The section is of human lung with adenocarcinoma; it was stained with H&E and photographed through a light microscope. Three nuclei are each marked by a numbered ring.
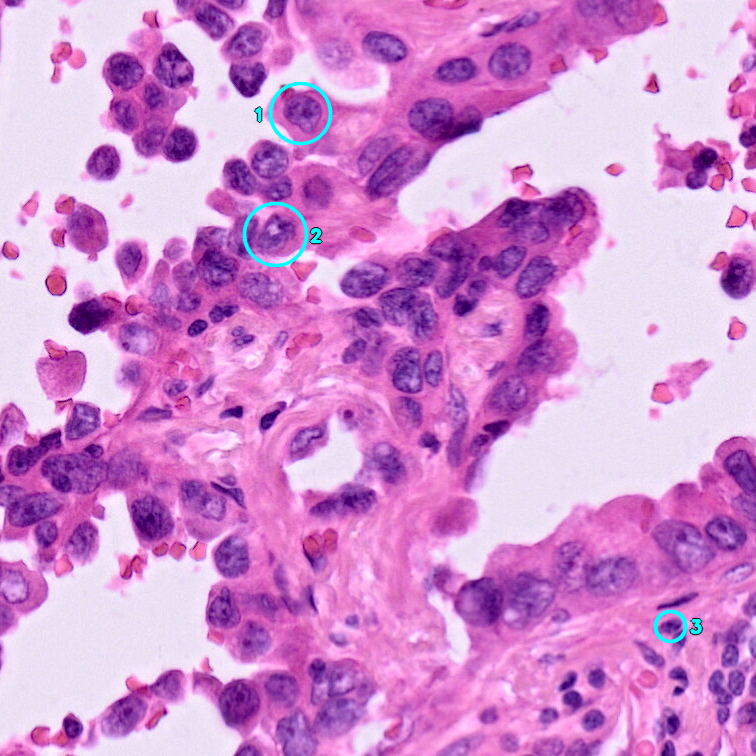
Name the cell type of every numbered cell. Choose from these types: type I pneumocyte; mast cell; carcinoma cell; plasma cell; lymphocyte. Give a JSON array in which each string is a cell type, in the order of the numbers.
["carcinoma cell", "carcinoma cell", "lymphocyte"]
